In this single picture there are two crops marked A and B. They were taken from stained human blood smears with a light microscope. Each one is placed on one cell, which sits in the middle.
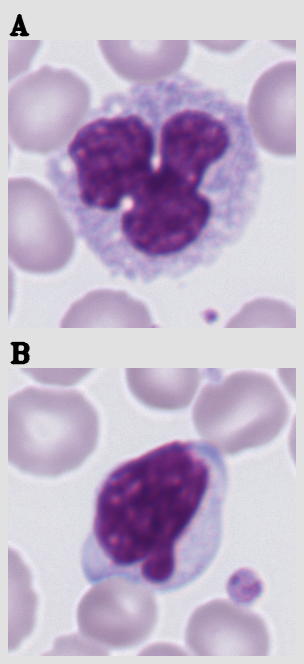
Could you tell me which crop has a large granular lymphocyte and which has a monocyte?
A: monocyte
B: large granular lymphocyte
